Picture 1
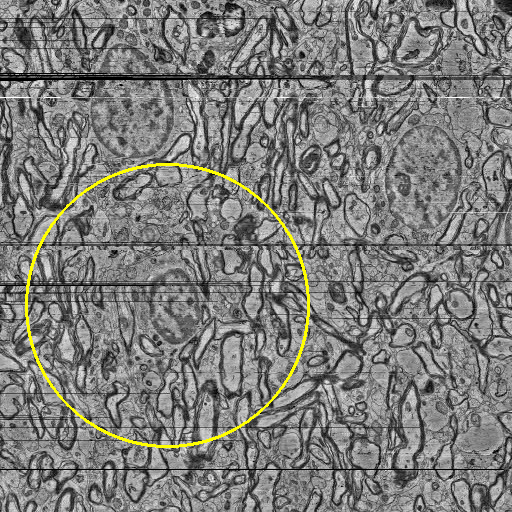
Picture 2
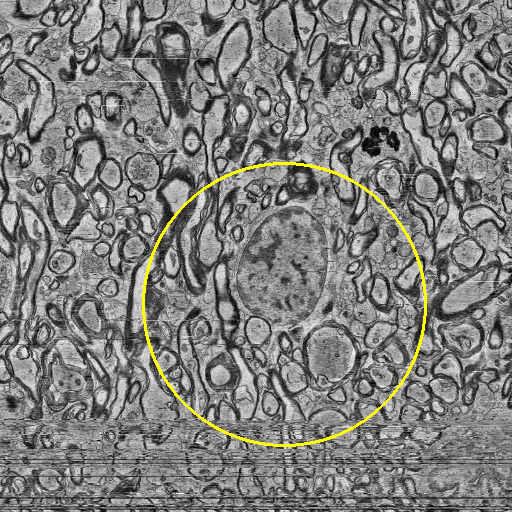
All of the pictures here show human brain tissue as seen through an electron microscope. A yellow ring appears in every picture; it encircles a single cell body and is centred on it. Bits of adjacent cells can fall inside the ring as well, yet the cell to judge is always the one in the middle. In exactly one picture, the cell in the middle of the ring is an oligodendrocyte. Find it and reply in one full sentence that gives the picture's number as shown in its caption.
Of all the pictures, picture 1 has the right cell at the centre of its ring.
